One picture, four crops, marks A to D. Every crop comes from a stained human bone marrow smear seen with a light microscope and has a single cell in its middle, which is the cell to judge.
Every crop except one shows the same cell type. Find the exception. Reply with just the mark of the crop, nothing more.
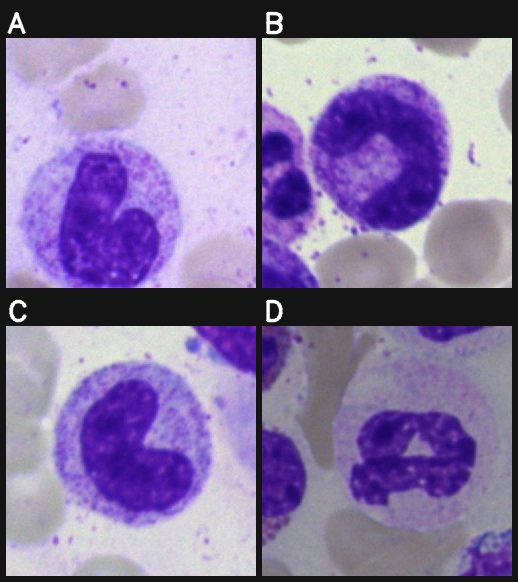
D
